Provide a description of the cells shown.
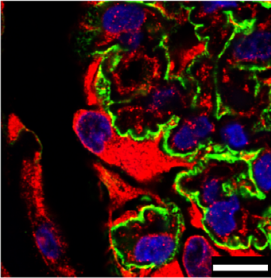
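Enlarged view of the edge of a glomerular tuft with podocytes lying on the outer surface of capillary loops. Green lines outline the scalloped contours of the loops, with red-stained cell bodies sitting on them. Oval blue nuclei lie within the red cell bodies on the outer aspect of the loops. Red extends in broad bands between loops, following the cell body and major processes. At the left, beyond a dark space, a band of red-stained cells forms the outer boundary.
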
